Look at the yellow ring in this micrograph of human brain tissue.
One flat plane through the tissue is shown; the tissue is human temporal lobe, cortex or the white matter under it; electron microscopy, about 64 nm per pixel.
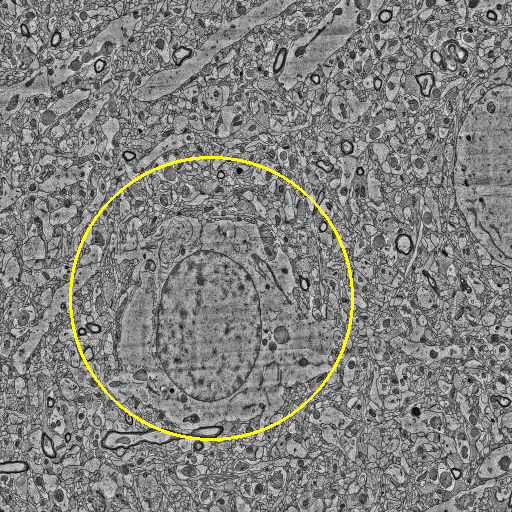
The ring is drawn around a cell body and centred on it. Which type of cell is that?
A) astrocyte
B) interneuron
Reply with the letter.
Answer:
A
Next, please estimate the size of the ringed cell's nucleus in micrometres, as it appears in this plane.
In this plane, the nucleus is roughly 10 by 7 micrometres.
